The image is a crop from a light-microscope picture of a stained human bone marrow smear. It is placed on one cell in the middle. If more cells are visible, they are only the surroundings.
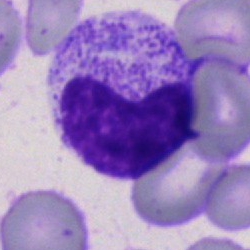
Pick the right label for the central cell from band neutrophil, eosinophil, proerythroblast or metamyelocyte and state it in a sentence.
At the center of the crop sits a metamyelocyte.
